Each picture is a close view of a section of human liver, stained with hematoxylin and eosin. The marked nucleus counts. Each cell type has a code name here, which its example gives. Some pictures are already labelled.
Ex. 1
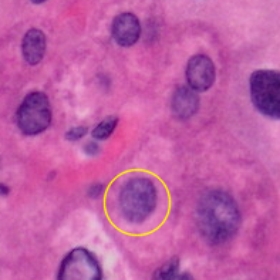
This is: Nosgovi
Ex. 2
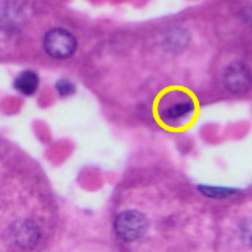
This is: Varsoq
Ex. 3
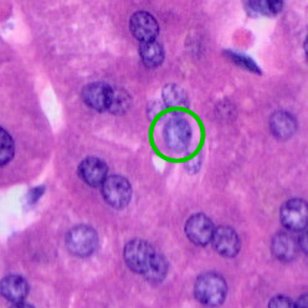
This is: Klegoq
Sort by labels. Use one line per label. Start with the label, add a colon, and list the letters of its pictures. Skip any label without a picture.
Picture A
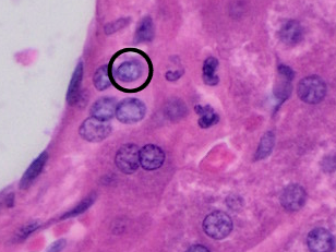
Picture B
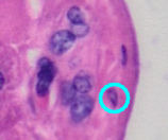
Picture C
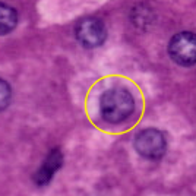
Nosgovi: C
Varsoq: B
Klegoq: A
